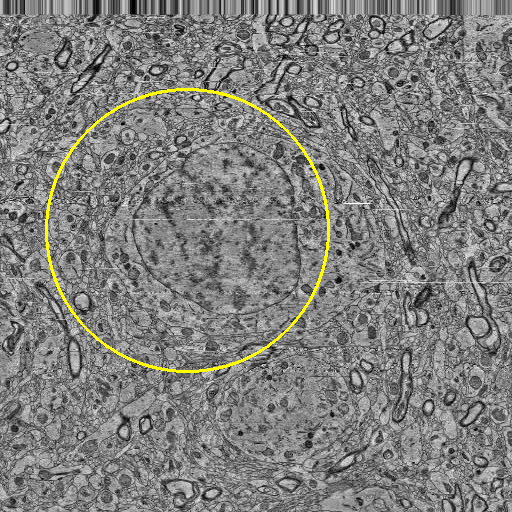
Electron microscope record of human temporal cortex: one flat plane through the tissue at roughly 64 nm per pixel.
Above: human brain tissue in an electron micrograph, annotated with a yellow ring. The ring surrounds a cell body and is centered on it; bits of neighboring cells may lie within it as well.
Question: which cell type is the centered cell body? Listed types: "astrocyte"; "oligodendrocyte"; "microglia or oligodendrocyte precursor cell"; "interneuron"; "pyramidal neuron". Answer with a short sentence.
The centered cell body is an interneuron.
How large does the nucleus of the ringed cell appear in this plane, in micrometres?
In this plane the nucleus measures roughly 11 micrometres across.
